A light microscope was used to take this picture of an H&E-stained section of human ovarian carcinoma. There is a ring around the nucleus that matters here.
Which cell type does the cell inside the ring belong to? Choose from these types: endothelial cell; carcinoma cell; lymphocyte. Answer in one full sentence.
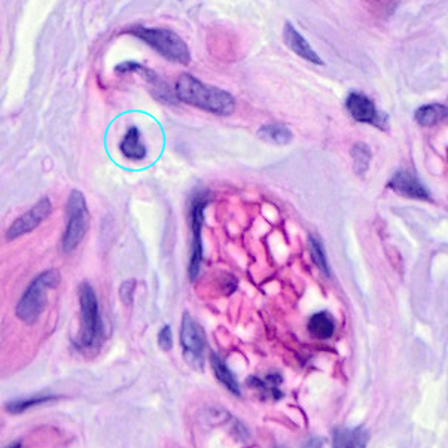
The category to which the cell inside the ring belongs is that of a lymphocyte.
